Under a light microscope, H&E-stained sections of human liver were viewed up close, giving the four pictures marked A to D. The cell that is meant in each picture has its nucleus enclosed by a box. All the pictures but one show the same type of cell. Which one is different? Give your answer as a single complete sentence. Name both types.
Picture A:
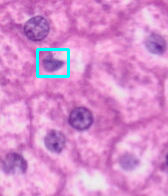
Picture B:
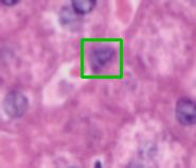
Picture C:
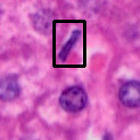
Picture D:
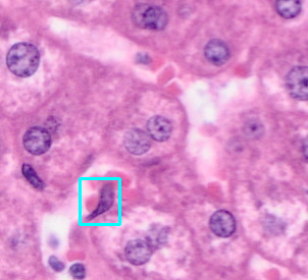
All pictures except D show endothelial cells; picture D shows a Kupffer cell.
